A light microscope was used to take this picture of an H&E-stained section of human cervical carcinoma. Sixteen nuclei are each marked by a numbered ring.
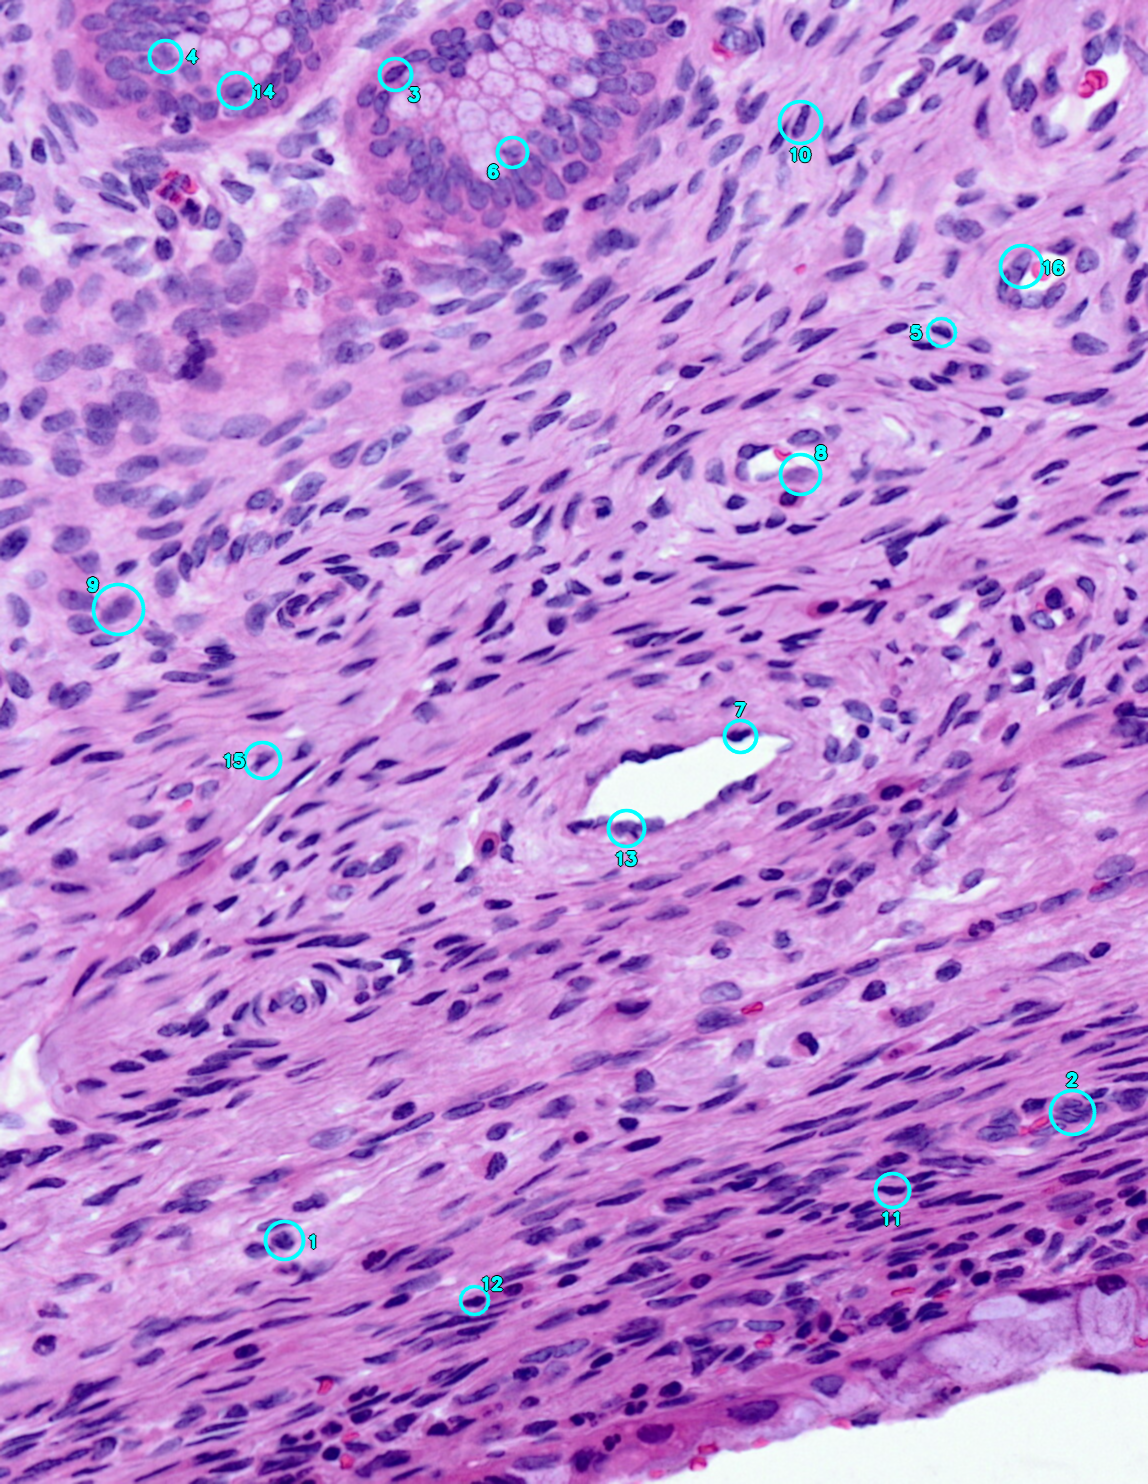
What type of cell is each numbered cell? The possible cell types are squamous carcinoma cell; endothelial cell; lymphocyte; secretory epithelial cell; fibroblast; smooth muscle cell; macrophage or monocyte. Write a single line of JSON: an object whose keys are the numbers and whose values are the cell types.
{"1": "lymphocyte", "2": "endothelial cell", "3": "secretory epithelial cell", "4": "secretory epithelial cell", "5": "fibroblast", "6": "secretory epithelial cell", "7": "endothelial cell", "8": "endothelial cell", "9": "fibroblast", "10": "fibroblast", "11": "fibroblast", "12": "lymphocyte", "13": "endothelial cell", "14": "secretory epithelial cell", "15": "fibroblast", "16": "endothelial cell"}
